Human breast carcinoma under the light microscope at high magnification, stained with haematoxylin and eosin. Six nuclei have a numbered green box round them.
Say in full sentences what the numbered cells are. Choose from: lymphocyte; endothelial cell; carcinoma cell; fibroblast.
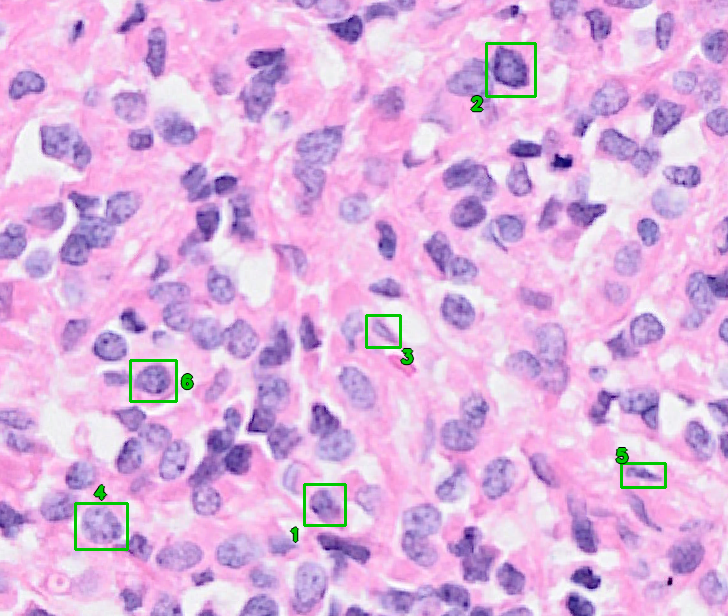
Cells 1, 2, 4 and 6 are carcinoma cells. Cell 3 is an endothelial cell. Cell 5 is a fibroblast.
